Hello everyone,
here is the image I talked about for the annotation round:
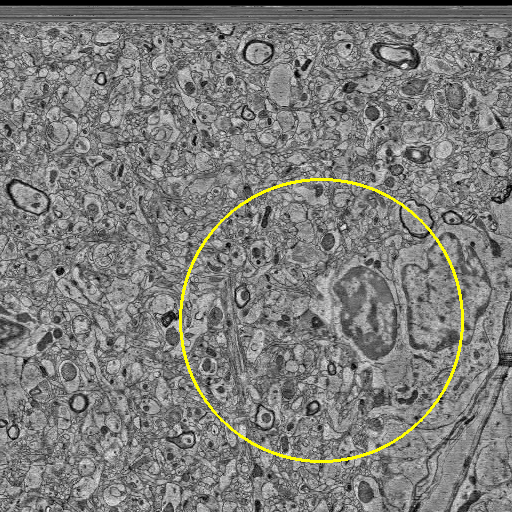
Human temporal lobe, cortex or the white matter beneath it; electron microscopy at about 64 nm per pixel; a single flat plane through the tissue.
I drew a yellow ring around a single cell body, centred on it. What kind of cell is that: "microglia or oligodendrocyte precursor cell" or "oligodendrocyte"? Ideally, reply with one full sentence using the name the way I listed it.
The cell your yellow ring is centred on is a microglial cell or oligodendrocyte precursor cell, going by your list.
